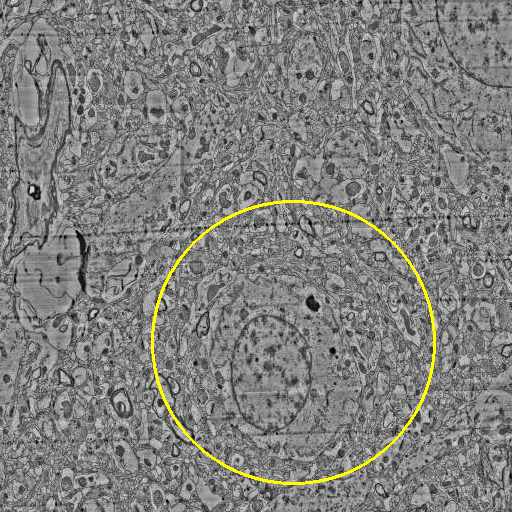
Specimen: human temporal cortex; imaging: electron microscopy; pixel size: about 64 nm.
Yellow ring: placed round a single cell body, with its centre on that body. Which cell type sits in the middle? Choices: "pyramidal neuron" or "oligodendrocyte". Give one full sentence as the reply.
It is a pyramidal neuron whose cell body sits at the centre of the yellow ring.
